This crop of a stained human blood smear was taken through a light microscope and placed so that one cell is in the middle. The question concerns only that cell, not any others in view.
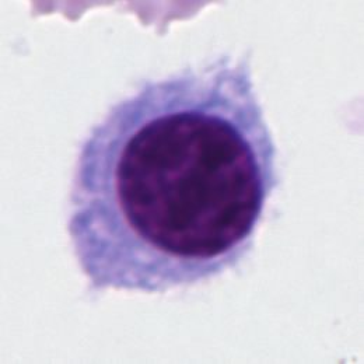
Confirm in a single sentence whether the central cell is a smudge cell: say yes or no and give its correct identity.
No, in this crop the middle cell is a hairy cell, not a smudge cell.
